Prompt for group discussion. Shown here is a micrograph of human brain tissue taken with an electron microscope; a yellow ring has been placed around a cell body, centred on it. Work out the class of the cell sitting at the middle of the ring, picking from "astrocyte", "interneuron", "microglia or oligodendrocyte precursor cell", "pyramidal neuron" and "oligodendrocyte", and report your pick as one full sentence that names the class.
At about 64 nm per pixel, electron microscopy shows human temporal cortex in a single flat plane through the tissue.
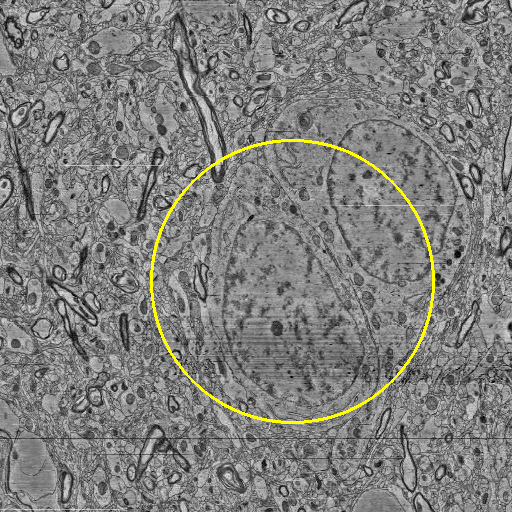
The cell sitting at the middle of the yellow ring is an interneuron.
